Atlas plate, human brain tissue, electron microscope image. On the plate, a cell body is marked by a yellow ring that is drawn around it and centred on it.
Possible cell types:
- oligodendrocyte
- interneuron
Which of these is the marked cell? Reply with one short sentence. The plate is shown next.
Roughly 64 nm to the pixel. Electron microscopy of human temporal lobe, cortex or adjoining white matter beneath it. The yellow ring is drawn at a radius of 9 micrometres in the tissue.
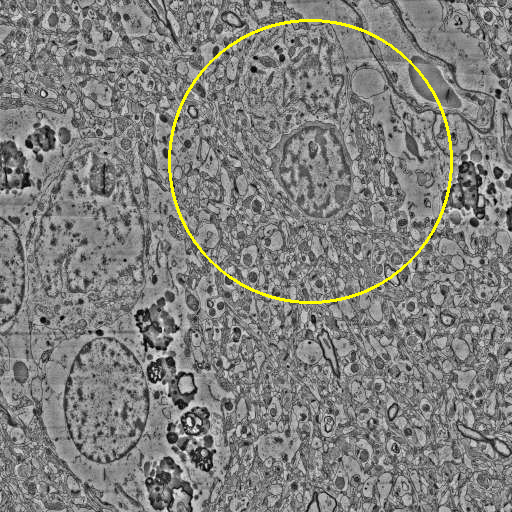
The marked cell is an oligodendrocyte.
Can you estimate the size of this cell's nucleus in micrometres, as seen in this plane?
Approximately 6 by 4 micrometers in this plane.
